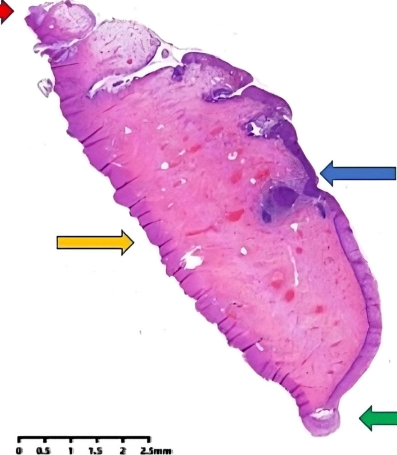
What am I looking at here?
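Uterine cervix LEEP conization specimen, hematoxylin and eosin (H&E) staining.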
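An elongated cone of pale pink fibrous stroma with scattered small red vessels is covered on one side by a thin layer of epithelium, while the opposite long edge is a scalloped cut surface of bare stroma. Near one side a segment of epithelium is thickened and dark purple, dipping into the stroma, which reads as a high-grade squamous intraepithelial lesion lying away from the cut edges.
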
